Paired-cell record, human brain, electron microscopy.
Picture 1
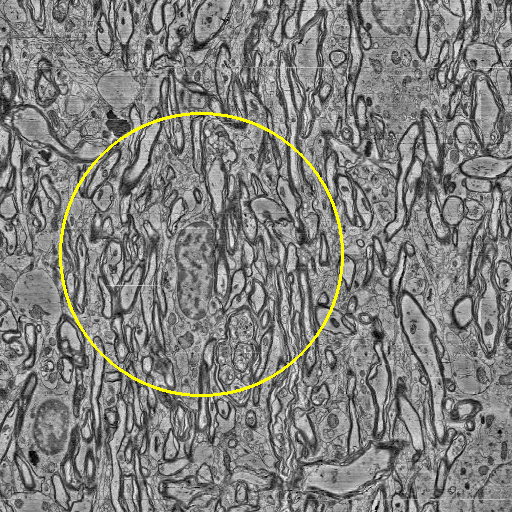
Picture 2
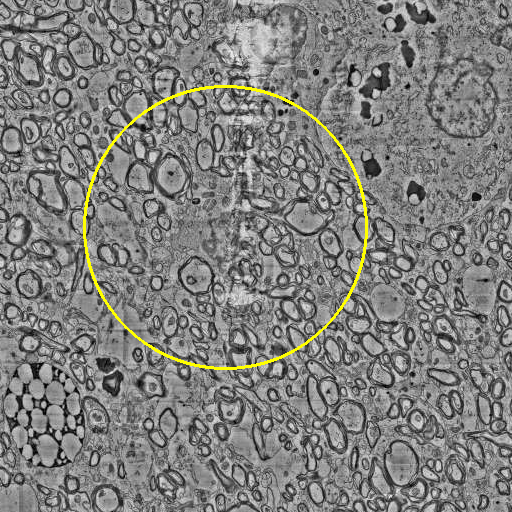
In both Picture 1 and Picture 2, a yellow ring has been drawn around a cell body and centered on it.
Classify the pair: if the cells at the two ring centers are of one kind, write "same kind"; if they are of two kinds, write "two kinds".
two kinds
